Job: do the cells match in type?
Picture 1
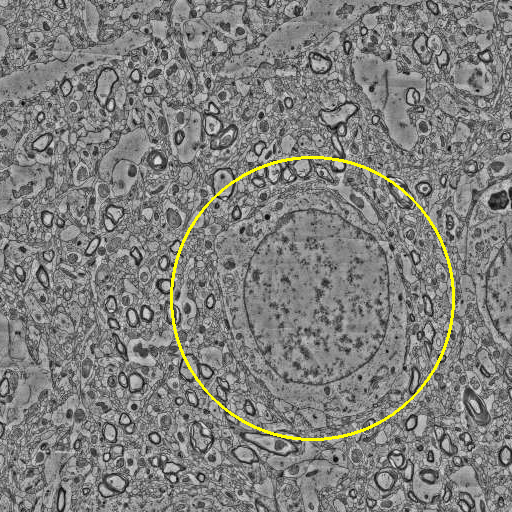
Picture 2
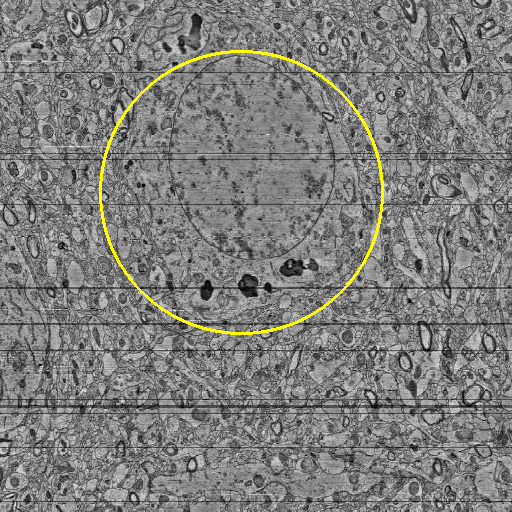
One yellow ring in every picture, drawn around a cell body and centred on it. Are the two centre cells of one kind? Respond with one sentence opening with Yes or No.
Yes, the ringed cells in the two pictures are of one and the same kind.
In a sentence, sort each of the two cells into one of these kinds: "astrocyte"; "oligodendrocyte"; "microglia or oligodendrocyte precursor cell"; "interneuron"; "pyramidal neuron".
Each of the two rings is centred on a pyramidal neuron.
